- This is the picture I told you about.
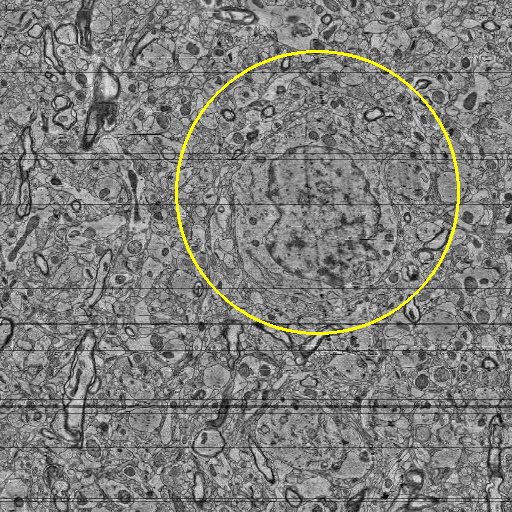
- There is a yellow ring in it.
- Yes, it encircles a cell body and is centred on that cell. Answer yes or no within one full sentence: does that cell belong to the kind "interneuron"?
Yes, that cell, the one the yellow ring is centred on, belongs to this kind.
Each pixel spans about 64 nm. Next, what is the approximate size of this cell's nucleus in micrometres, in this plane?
The ringed cell's nucleus measures approximately 9 by 7 micrometres in this plane.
